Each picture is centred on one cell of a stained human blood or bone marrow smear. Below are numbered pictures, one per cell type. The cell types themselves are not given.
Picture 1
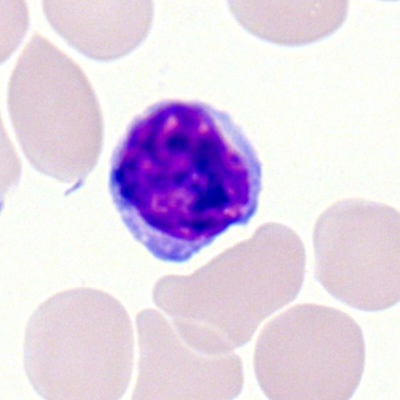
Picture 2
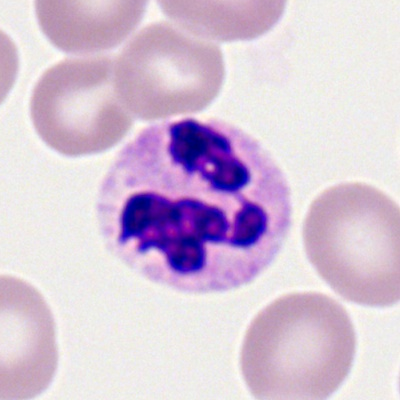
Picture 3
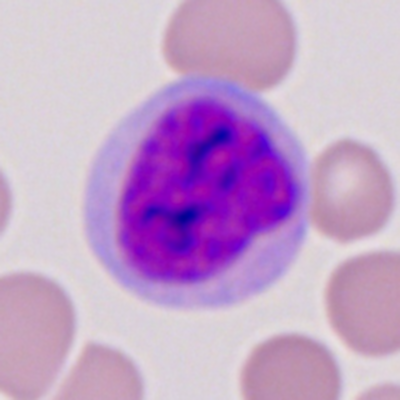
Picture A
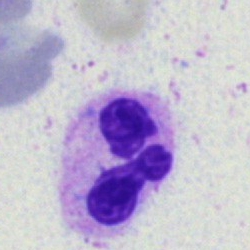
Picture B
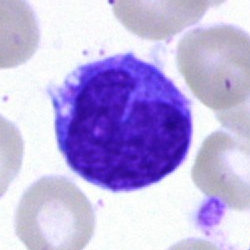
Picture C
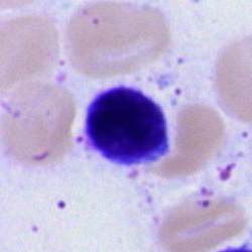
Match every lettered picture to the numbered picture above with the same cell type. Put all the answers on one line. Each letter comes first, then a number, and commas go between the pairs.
A 2, B 3, C 1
